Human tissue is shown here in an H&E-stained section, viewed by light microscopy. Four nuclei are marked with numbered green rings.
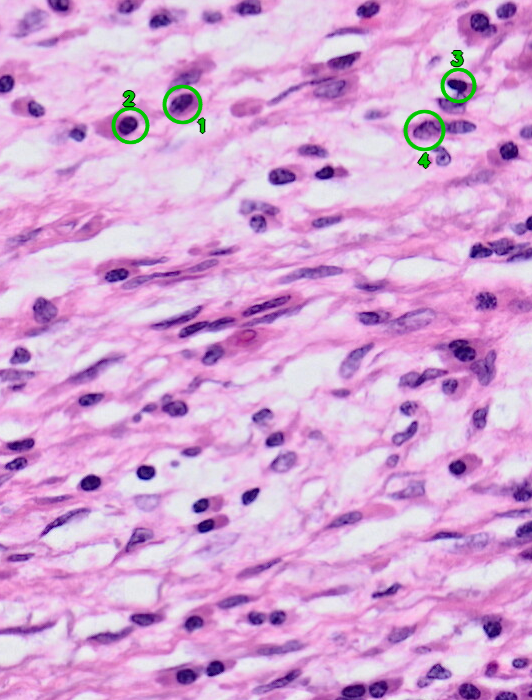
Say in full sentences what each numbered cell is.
Cell 1 is a plasma cell, cell 2 is a plasma cell, cell 3 is a plasma cell and cell 4 is a macrophage or monocyte.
